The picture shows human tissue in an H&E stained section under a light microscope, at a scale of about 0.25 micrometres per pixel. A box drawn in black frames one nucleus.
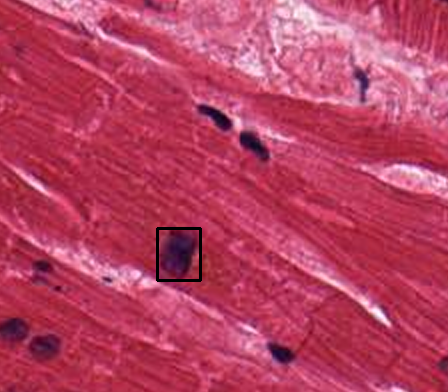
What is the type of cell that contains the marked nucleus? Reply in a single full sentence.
The nucleus singled out by the mark belongs to a cardiomyocyte.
